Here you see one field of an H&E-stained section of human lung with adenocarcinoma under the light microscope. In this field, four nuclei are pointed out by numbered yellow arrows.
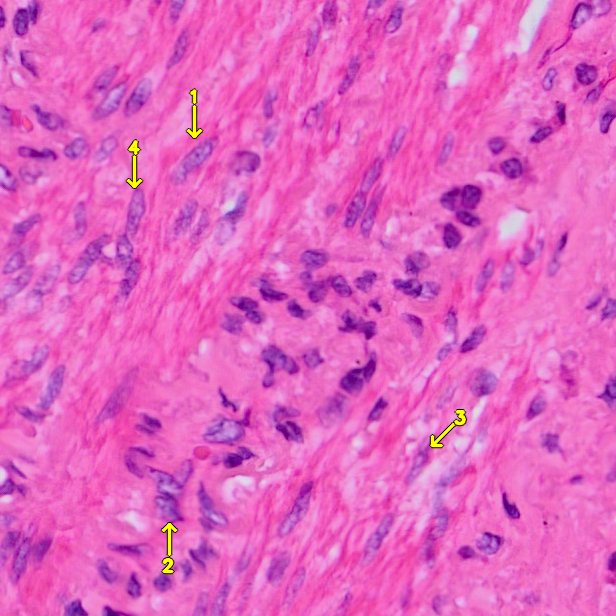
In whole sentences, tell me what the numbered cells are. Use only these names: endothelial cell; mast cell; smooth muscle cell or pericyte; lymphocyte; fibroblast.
Cell 1 is a smooth muscle cell or pericyte, cell 2 is an endothelial cell, cell 3 is a smooth muscle cell or pericyte and cell 4 is a smooth muscle cell or pericyte.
